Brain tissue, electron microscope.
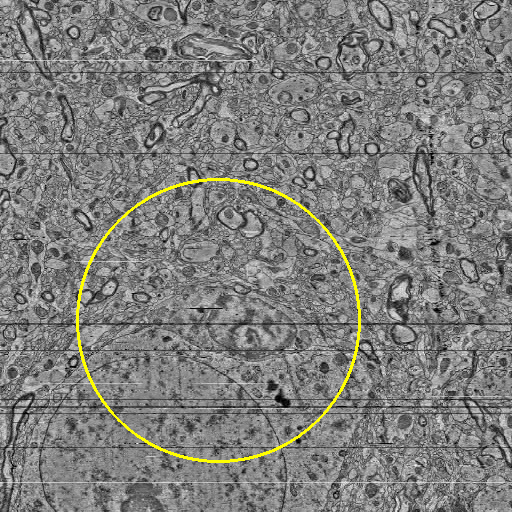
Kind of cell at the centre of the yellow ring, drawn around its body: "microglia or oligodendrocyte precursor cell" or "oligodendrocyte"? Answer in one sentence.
The ring's centre falls on an oligodendrocyte.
